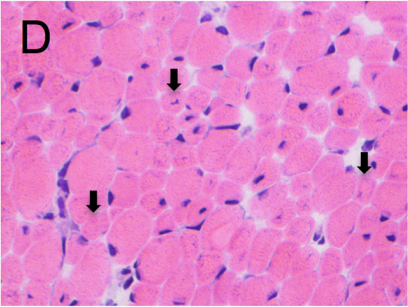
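Cross-sectioned skeletal muscle fibres are shown in pink, varying clearly in size from small to large polygonal profiles. Several fibres hold dark purple nuclei lying inside the fibre, some near its centre, instead of only at the edge beneath the membrane.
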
